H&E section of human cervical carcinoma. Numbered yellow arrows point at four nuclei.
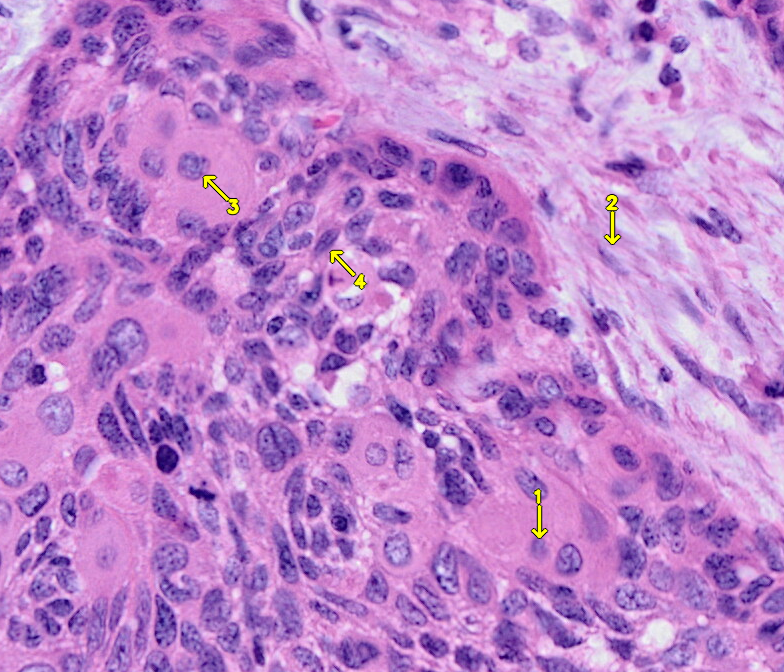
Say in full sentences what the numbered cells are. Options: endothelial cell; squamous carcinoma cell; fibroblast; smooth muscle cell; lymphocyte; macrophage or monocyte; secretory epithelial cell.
Cells 1, 3 and 4 are squamous carcinoma cells. Cell 2 is a fibroblast.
